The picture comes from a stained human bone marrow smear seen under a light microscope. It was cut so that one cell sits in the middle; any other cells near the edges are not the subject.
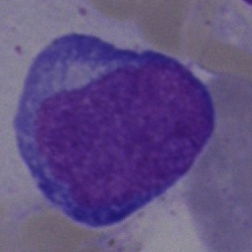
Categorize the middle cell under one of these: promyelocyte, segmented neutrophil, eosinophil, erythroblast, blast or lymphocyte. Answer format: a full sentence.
The cell positioned in the middle of the field is a blast.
